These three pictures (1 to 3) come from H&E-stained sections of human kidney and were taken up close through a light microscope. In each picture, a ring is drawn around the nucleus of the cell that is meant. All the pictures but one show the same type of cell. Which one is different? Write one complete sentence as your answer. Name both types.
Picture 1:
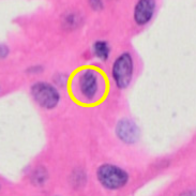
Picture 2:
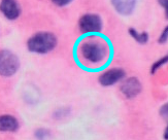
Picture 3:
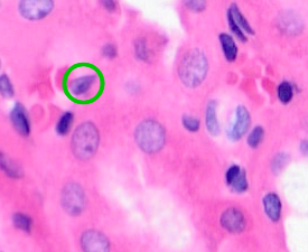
All pictures except 2 show endothelial cells; picture 2 shows a “loop of Henle or distal tubule cell”.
